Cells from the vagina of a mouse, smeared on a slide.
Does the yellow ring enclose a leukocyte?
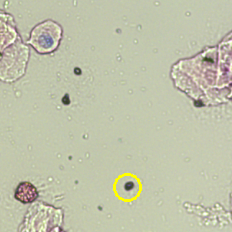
Yes. The ring encloses a leukocyte.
